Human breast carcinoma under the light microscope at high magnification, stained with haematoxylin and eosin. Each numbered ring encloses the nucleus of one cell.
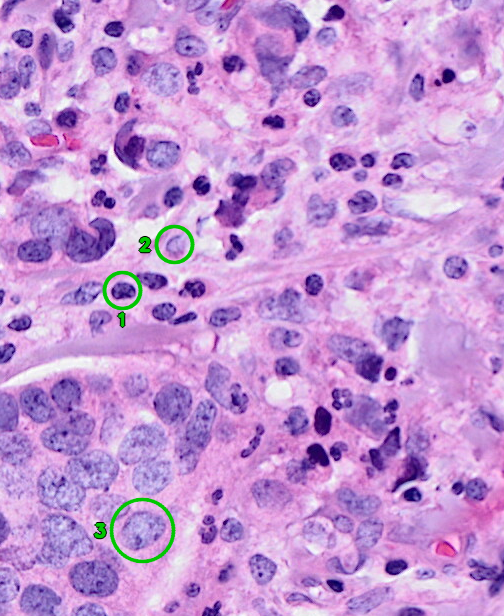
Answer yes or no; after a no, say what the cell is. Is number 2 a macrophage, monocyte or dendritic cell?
Yes.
